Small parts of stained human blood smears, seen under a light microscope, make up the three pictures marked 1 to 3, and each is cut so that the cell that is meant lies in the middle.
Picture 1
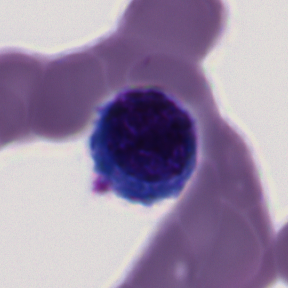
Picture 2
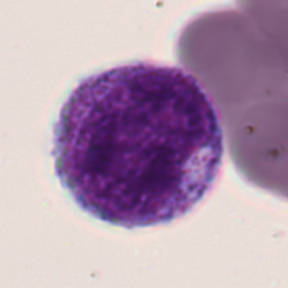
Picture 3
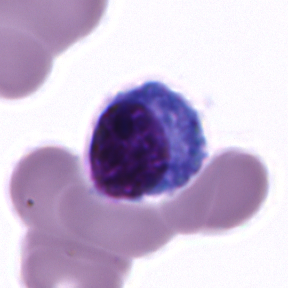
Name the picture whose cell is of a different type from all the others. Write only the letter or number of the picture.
2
